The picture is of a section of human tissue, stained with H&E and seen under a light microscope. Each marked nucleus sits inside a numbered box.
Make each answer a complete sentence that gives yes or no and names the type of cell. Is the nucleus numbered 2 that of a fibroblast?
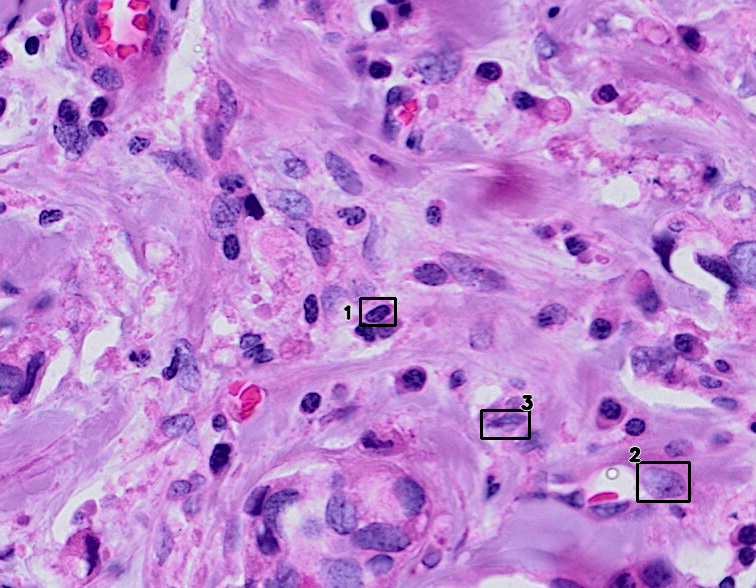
No, rather than a fibroblast, cell number 2 is an endothelial cell.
